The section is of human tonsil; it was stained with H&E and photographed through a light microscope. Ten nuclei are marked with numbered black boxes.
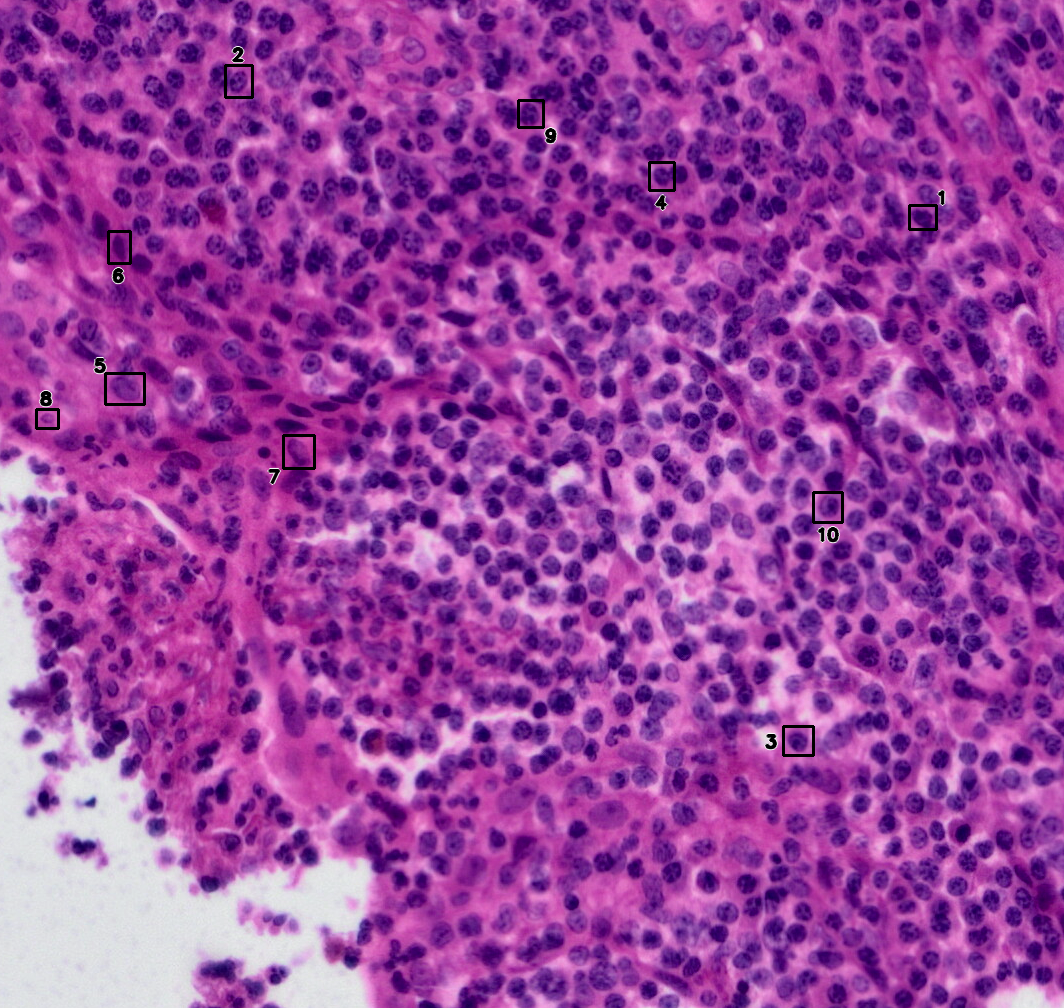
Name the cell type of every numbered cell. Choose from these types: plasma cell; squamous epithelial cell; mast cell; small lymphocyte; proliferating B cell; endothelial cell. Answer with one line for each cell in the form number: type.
1: plasma cell
2: plasma cell
3: plasma cell
4: plasma cell
5: squamous epithelial cell
6: squamous epithelial cell
7: squamous epithelial cell
8: squamous epithelial cell
9: plasma cell
10: plasma cell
